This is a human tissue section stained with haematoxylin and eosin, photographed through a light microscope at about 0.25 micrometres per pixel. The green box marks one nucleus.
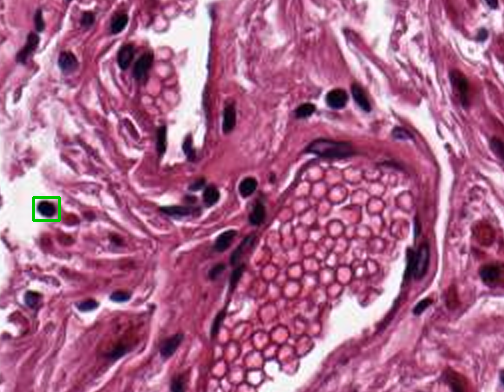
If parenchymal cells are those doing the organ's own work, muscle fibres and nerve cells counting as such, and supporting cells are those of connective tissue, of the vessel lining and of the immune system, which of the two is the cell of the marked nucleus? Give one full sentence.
The marked nucleus belongs to a cell, and that cell is a supporting cell.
